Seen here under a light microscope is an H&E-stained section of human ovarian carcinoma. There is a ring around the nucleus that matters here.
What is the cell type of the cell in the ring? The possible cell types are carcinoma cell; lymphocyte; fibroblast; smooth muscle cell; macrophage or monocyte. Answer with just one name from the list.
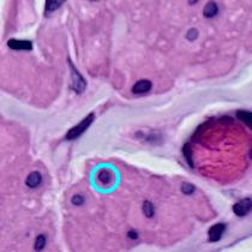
smooth muscle cell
